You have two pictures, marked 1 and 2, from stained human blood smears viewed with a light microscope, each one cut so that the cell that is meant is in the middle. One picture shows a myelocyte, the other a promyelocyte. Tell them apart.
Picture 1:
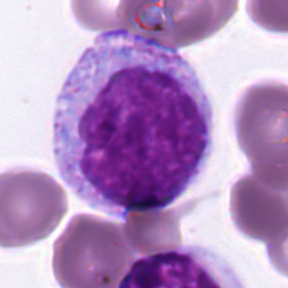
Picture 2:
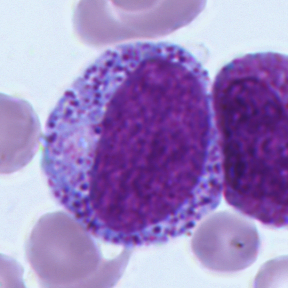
1: myelocyte
2: promyelocyte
